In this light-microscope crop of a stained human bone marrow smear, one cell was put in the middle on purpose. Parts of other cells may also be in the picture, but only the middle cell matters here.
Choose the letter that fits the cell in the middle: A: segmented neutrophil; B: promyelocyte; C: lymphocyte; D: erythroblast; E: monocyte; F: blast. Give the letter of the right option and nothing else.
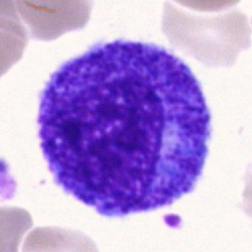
B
